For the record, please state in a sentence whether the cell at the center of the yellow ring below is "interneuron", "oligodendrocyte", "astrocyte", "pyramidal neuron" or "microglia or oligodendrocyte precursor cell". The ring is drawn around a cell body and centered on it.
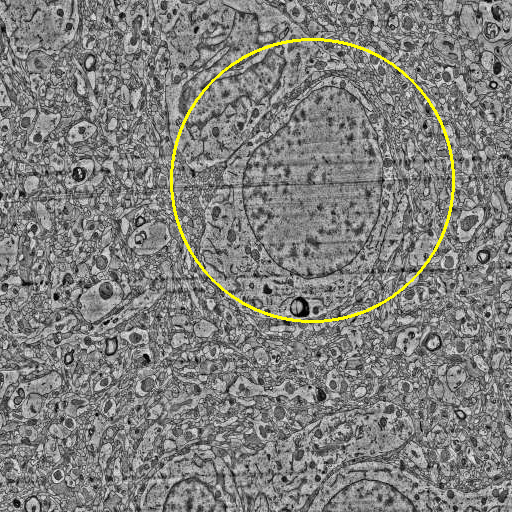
The cell at the ring's center is a pyramidal neuron.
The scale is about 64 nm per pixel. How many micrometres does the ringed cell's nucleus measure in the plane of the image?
In this plane the nucleus spans approximately 12 by 9 micrometers.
